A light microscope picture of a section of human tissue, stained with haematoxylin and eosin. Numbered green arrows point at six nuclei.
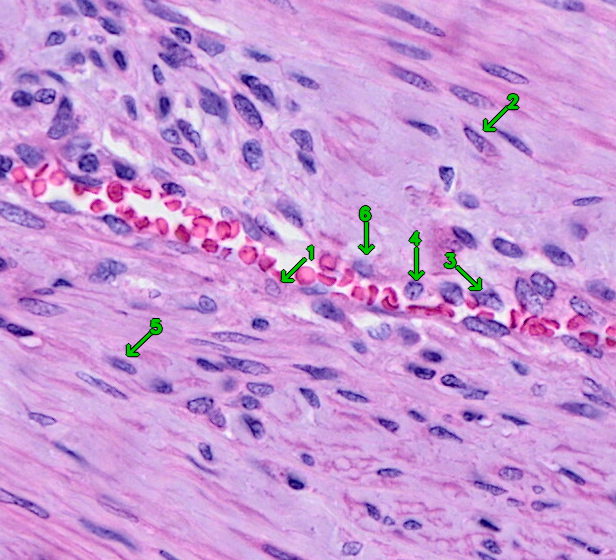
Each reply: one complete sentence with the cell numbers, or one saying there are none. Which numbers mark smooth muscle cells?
In this section, the cells numbered 2 and 5 are smooth muscle cells.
